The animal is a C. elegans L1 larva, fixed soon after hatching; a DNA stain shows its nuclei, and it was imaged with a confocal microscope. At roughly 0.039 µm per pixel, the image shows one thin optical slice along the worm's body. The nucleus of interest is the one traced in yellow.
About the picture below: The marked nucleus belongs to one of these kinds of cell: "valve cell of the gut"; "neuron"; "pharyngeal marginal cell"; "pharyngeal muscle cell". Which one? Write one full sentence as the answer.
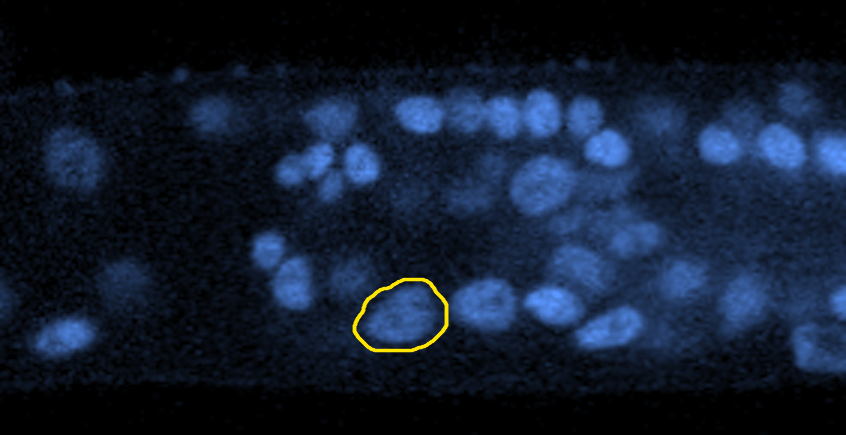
This nucleus is from a pharyngeal muscle cell.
